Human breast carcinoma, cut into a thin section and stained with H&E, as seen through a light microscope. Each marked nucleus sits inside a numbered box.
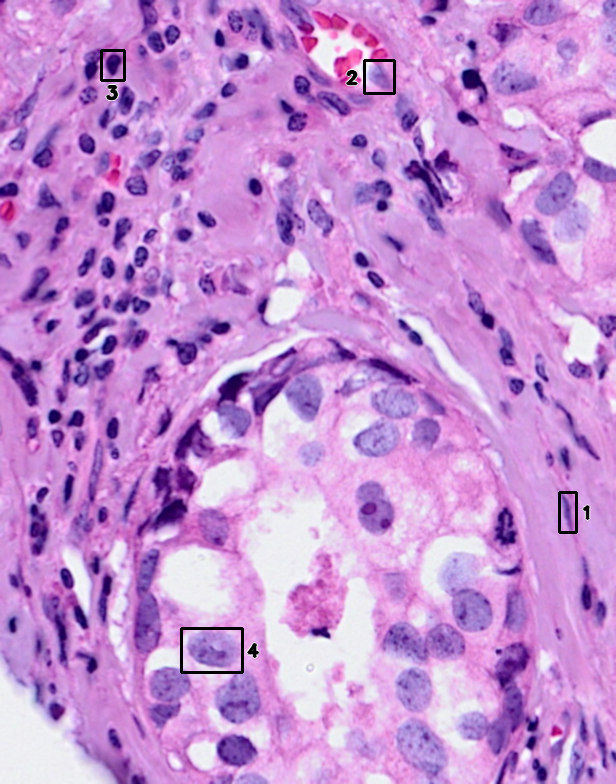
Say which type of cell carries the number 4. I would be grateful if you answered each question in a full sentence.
The correct label for cell 4 is a carcinoma cell.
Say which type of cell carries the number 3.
Of the numbered cells, the one labelled 3 is a lymphocyte.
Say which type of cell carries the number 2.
Here, the cell given the number 2 is an endothelial cell.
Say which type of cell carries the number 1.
In this section, the cell numbered 1 is a fibroblast.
